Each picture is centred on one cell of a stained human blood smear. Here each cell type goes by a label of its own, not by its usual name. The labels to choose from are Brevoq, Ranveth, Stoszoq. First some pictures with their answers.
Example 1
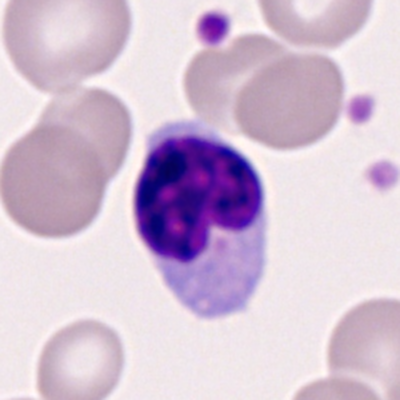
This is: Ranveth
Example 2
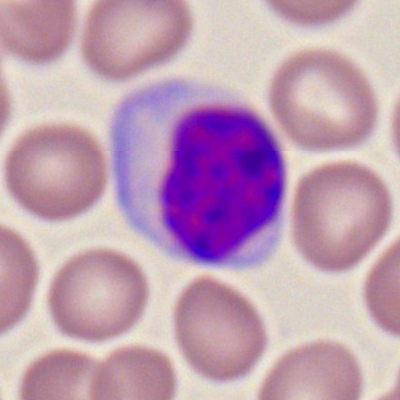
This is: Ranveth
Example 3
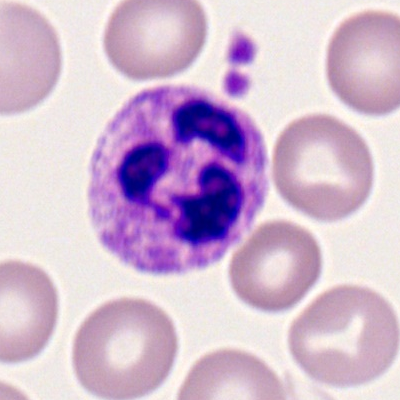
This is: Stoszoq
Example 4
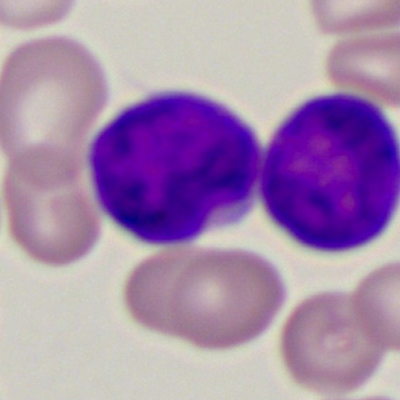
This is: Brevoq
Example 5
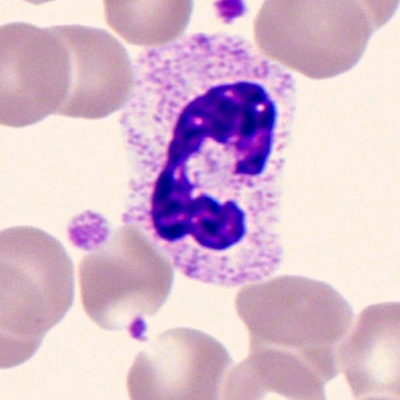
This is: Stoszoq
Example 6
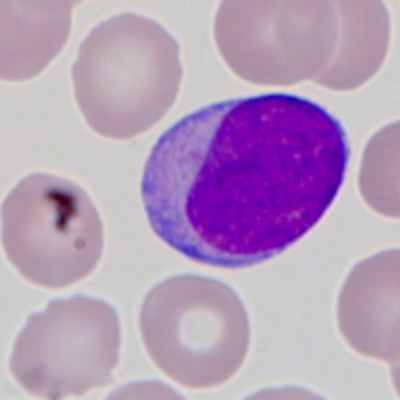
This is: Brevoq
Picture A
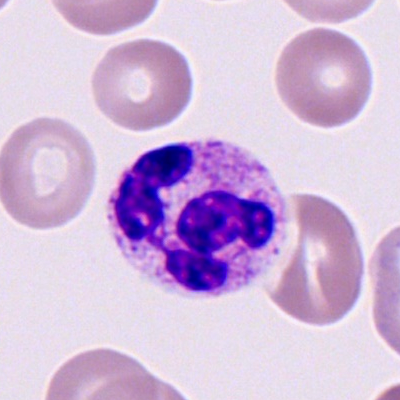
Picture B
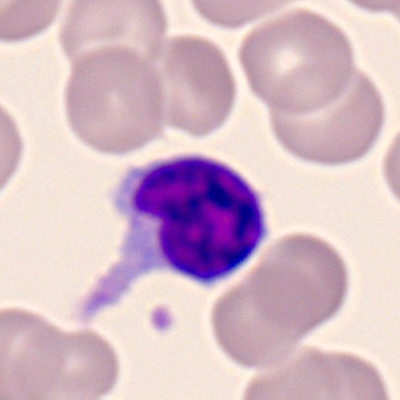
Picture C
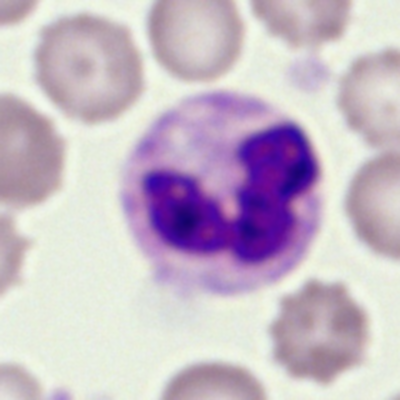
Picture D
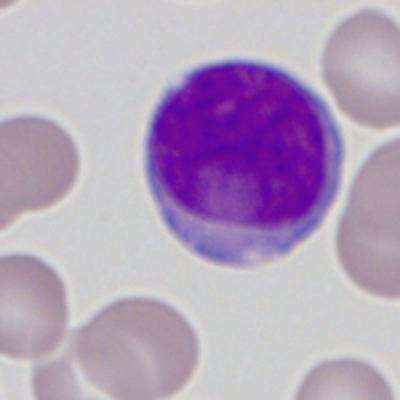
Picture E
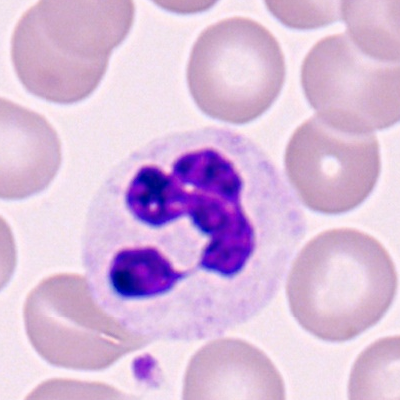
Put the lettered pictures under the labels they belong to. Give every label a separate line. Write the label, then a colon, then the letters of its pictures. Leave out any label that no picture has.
Brevoq: D
Ranveth: B
Stoszoq: A, C, E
